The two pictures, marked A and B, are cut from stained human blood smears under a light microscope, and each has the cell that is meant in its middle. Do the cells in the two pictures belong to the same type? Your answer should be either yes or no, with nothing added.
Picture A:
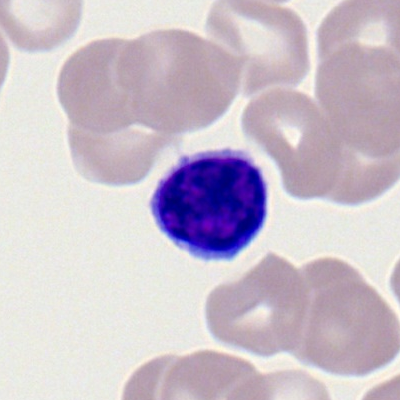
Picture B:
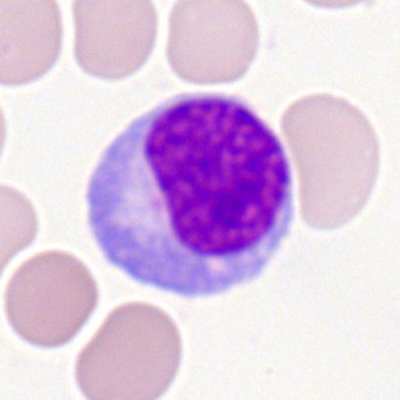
yes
